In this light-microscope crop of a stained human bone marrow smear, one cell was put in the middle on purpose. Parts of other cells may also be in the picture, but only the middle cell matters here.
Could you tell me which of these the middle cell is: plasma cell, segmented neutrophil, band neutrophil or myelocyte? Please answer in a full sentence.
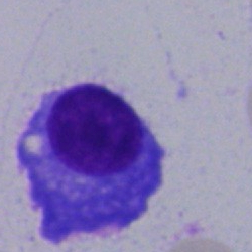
As for the cell in the middle, it is a plasma cell.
